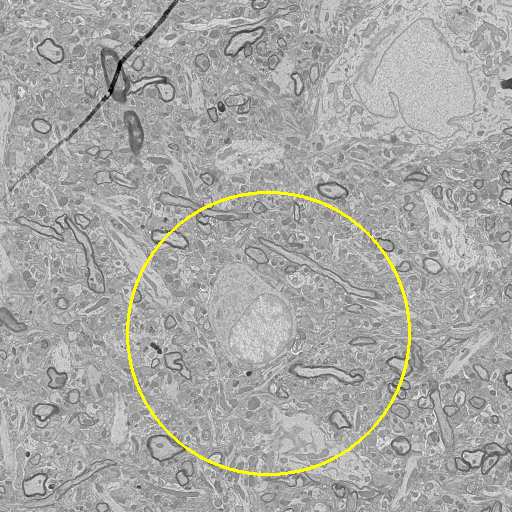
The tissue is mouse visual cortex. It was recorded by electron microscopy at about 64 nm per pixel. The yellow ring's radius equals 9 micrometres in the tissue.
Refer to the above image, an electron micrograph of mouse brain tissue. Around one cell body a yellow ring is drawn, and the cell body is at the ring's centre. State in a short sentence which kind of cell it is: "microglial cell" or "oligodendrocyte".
The centre of the ring falls on an oligodendrocyte.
